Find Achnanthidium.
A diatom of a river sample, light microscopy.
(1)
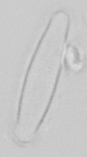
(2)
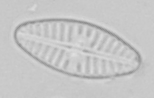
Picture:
1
